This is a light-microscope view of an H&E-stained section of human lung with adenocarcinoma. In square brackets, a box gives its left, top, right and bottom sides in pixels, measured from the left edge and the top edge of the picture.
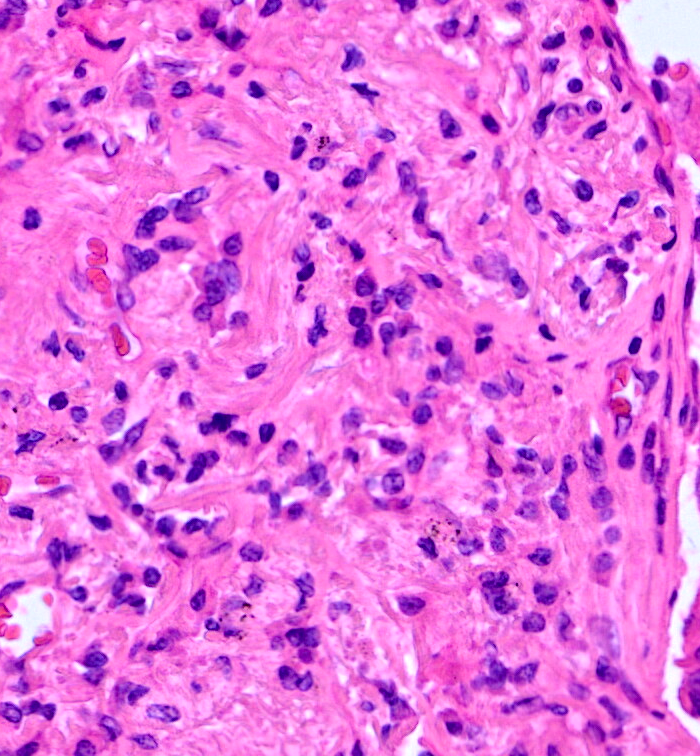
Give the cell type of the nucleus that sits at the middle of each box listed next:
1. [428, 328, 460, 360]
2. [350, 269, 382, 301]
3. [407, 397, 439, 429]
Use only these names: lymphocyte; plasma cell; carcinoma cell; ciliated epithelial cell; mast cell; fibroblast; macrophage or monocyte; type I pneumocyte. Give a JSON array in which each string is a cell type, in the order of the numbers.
["lymphocyte", "plasma cell", "mast cell"]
